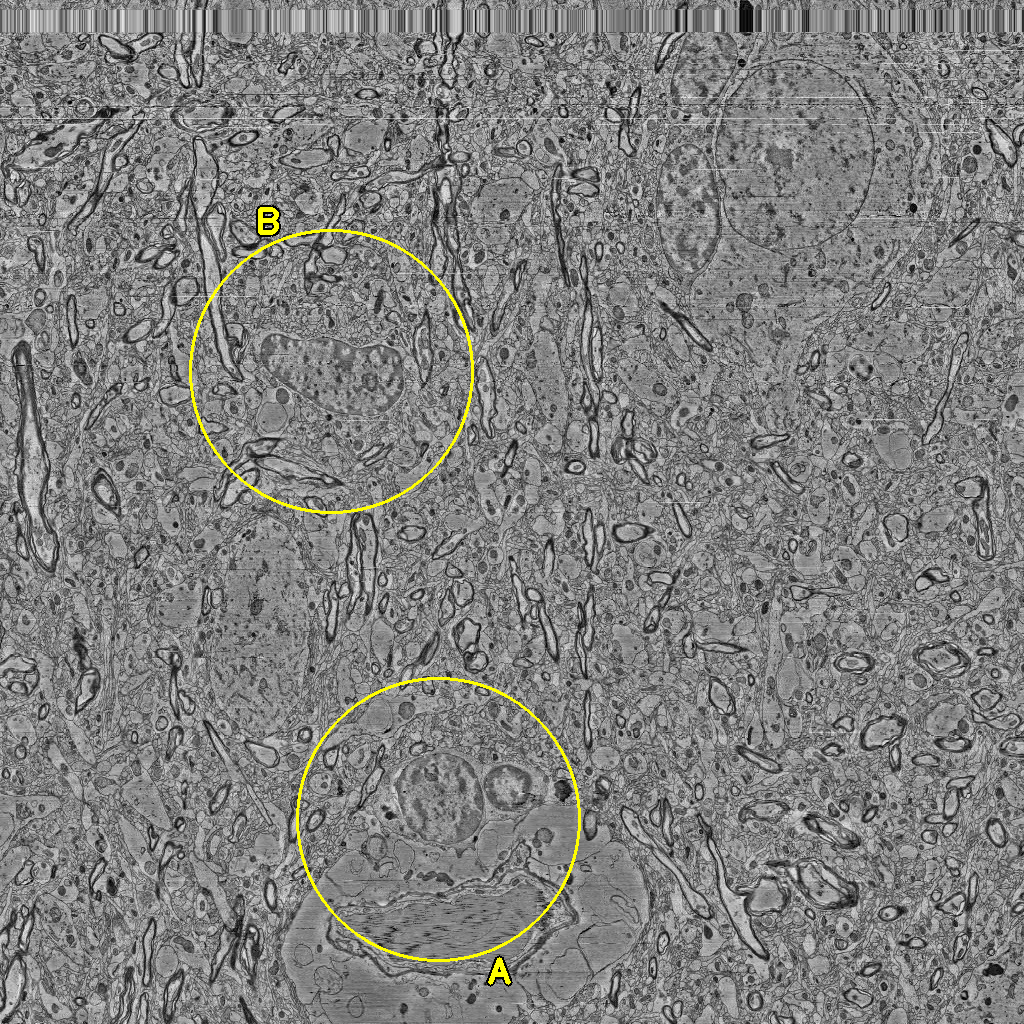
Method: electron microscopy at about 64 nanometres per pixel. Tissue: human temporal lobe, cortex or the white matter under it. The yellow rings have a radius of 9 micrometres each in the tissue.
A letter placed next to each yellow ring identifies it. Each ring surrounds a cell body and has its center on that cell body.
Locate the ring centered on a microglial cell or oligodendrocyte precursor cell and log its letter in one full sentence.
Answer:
Ring B has at its center the cell that the task asks for.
